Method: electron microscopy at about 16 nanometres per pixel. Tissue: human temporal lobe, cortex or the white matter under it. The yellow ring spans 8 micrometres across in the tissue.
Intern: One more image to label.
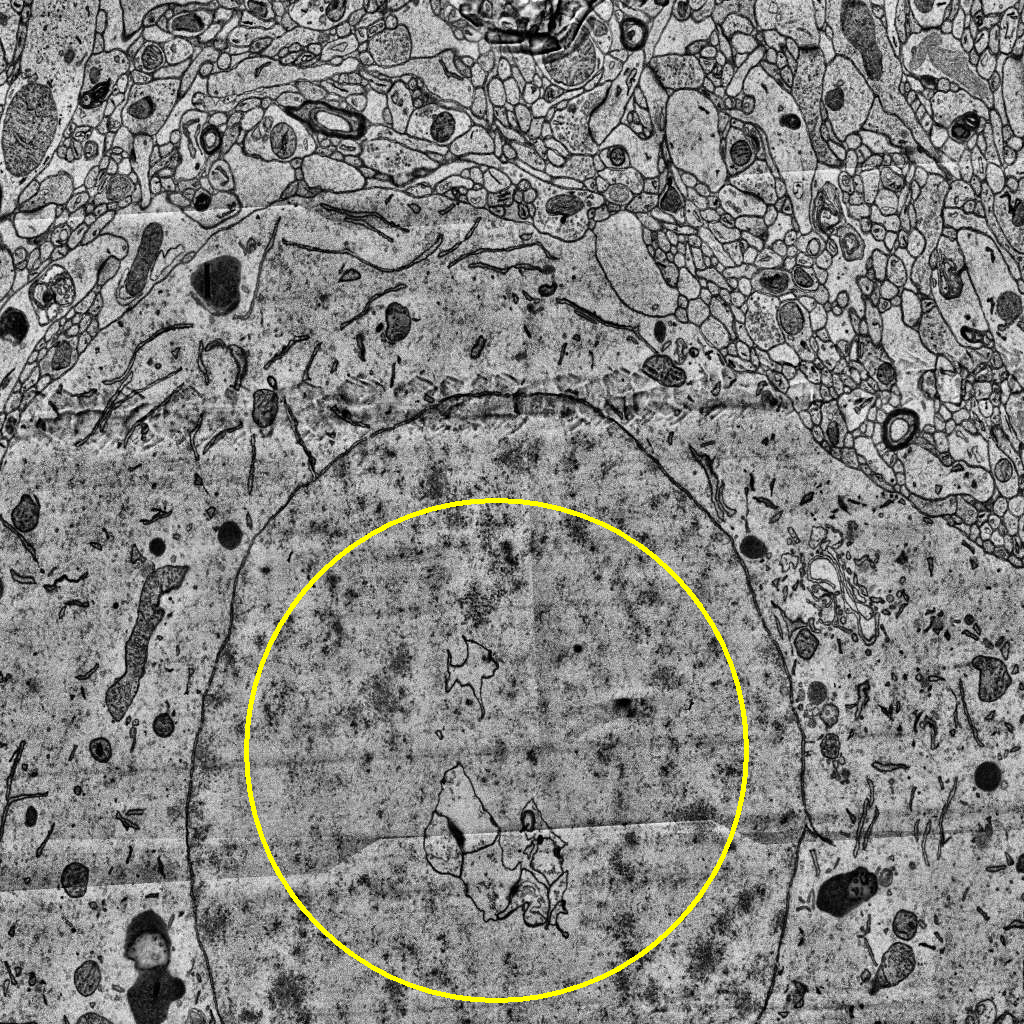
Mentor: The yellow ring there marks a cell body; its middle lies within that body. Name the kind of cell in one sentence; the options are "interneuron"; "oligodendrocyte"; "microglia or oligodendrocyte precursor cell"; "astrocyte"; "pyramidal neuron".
The ring marks the cell body of a pyramidal neuron.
